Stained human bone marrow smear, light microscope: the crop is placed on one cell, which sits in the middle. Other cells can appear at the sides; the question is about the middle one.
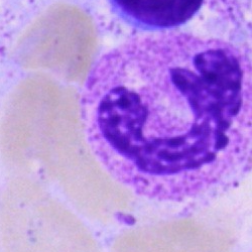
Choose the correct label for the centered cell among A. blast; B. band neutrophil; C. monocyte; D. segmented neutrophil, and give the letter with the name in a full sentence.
Option D stands as correct, the central cell being a segmented neutrophil.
